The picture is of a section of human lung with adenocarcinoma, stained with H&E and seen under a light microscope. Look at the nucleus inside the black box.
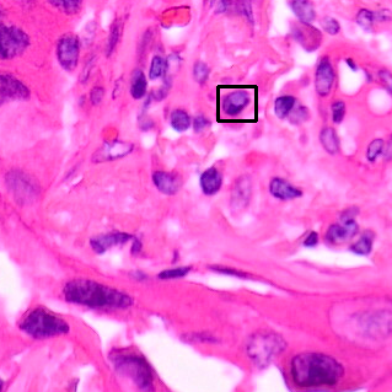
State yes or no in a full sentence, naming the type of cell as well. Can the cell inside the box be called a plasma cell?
Yes, it is a plasma cell that the cell inside the box is.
